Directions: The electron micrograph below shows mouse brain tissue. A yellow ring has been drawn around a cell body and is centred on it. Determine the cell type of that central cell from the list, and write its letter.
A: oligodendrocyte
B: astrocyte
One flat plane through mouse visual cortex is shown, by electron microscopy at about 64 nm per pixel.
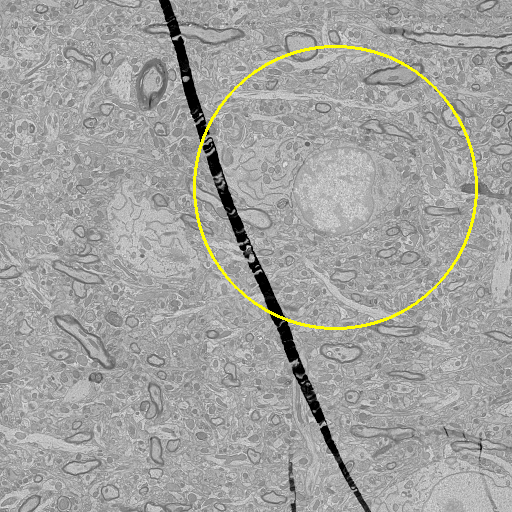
A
